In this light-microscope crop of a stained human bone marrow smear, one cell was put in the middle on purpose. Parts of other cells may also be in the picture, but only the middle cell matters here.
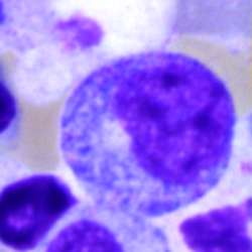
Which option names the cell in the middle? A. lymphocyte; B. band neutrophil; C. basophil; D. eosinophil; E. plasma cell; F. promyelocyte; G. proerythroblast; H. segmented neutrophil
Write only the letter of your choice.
F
